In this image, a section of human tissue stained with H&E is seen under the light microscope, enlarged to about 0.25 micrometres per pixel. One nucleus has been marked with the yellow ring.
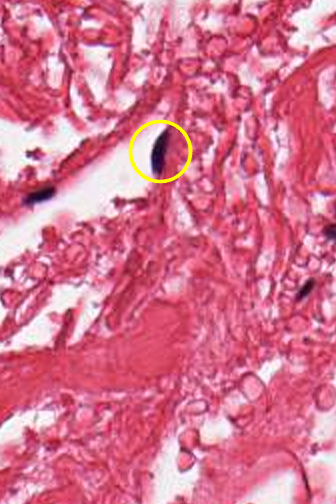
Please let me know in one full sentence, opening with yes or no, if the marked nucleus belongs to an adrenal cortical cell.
No, it is to a supporting cell that the marked nucleus belongs, not to an adrenal cortical cell.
